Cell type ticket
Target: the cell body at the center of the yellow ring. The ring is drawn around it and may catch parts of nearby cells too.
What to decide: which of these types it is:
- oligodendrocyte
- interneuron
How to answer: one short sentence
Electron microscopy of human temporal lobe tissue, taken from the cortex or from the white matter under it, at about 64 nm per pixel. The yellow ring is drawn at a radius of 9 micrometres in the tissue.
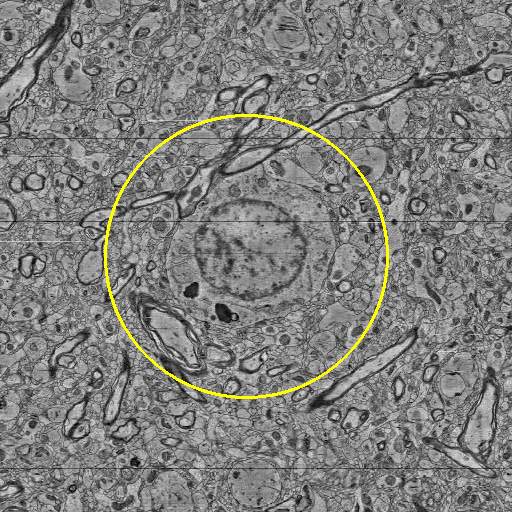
The cell at the center of the ring is an interneuron.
